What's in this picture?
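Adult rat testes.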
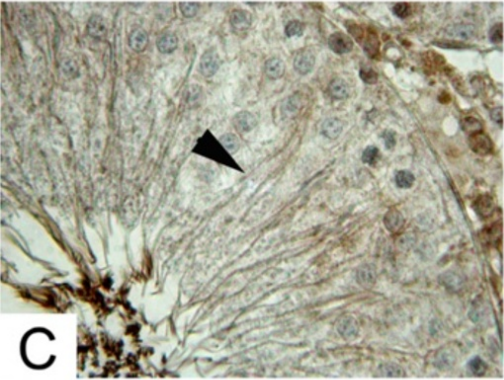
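This is part of a seminiferous tubule of the testis with elongated spermatids whose tails stain brown. Long, thin brown threads run through the upper epithelium and converge towards the lumen, where they form a dense dark brown tuft. Round nuclei of spermatocytes and round spermatids with pale chromatin fill the middle of the epithelium. Near the basement membrane at the right lie darker nuclei, and the tubule wall and interstitial cells beyond it also show brown staining.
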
